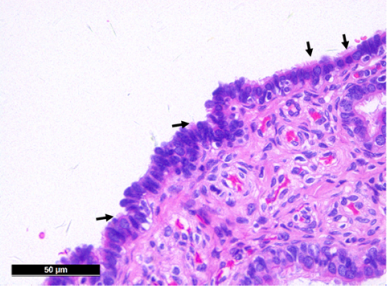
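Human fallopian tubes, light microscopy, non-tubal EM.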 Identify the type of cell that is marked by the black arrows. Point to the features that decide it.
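The arrows point to cells of the lining epithelium facing the lumen. A fine fringe lines the luminal surface of these cells. The answer: ciliated cells.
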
